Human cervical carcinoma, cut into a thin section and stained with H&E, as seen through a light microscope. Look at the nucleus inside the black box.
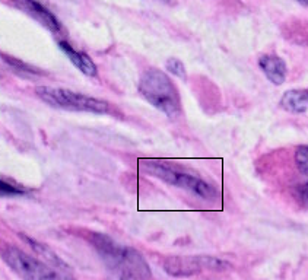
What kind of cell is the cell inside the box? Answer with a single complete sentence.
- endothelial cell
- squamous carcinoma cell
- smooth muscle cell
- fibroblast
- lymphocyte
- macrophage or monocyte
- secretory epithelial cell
The correct response here is that the cell inside the box is a fibroblast.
